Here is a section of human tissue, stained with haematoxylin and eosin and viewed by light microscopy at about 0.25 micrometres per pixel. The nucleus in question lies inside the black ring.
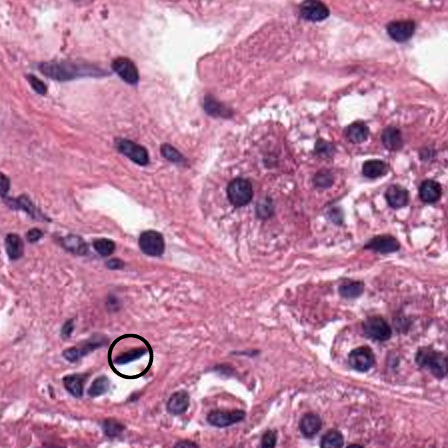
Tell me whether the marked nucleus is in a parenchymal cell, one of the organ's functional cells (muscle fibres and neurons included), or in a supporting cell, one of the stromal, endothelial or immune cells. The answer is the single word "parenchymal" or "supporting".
supporting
